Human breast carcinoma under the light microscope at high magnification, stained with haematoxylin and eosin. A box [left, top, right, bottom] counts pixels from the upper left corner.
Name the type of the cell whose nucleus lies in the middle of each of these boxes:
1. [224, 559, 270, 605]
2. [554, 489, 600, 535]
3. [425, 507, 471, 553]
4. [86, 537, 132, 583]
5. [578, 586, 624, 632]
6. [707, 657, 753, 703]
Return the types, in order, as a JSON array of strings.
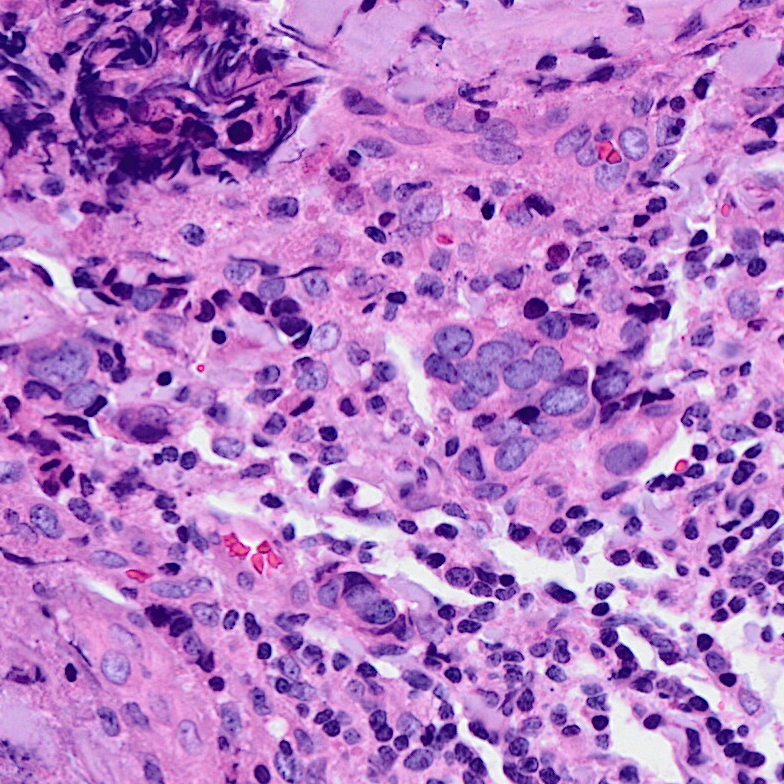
["endothelial cell", "lymphocyte", "lymphocyte", "endothelial cell", "lymphocyte", "lymphocyte"]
